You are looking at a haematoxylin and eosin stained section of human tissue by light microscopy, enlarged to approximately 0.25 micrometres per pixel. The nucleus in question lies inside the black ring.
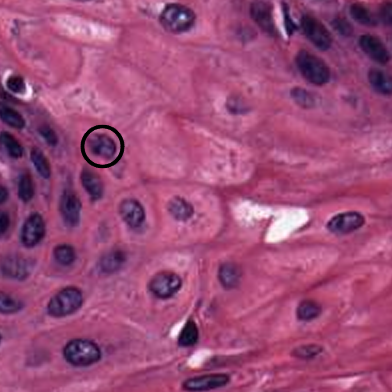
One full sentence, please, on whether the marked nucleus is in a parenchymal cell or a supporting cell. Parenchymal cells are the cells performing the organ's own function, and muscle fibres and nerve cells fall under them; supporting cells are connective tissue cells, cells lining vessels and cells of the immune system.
The owner of the marked nucleus is a parenchymal cell, namely a squamous epithelial cell.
